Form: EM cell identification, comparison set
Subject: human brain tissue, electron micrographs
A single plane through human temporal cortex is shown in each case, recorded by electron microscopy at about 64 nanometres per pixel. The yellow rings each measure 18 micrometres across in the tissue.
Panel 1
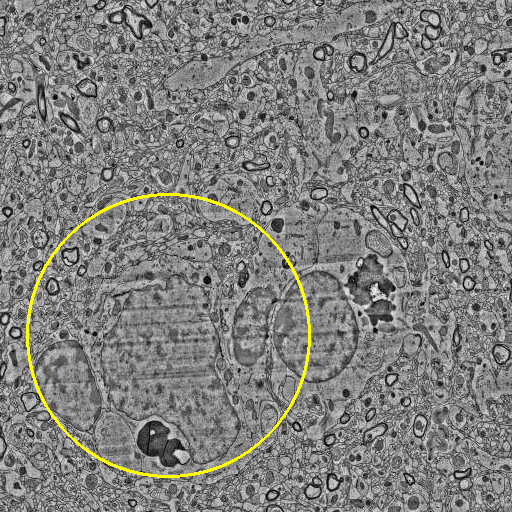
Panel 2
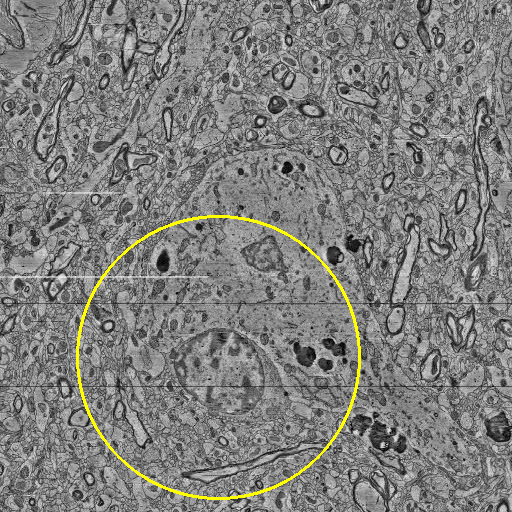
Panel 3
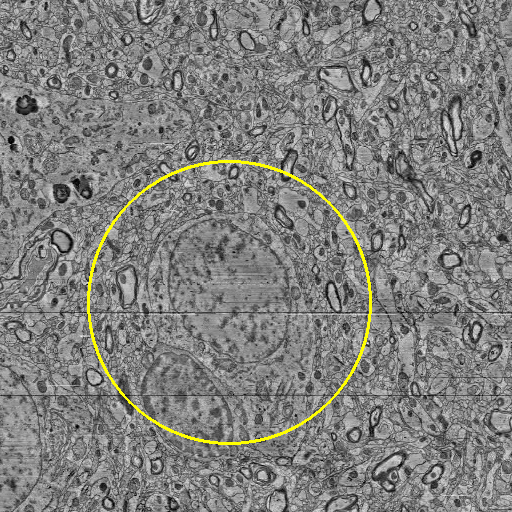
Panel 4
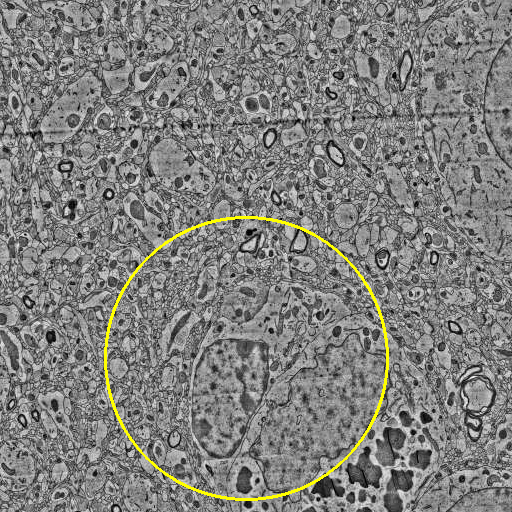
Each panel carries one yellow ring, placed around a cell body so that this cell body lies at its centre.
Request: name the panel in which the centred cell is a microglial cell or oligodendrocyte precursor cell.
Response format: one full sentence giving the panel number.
Panel 4 has it at the centre of its ring.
